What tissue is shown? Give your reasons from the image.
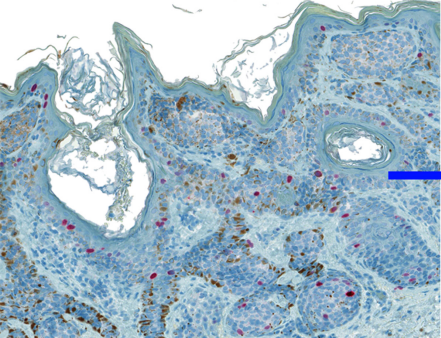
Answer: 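Melanocytic lesion. Rounded nests of cells lie along and below the epidermis. Brown granular pigment is scattered among the cells.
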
